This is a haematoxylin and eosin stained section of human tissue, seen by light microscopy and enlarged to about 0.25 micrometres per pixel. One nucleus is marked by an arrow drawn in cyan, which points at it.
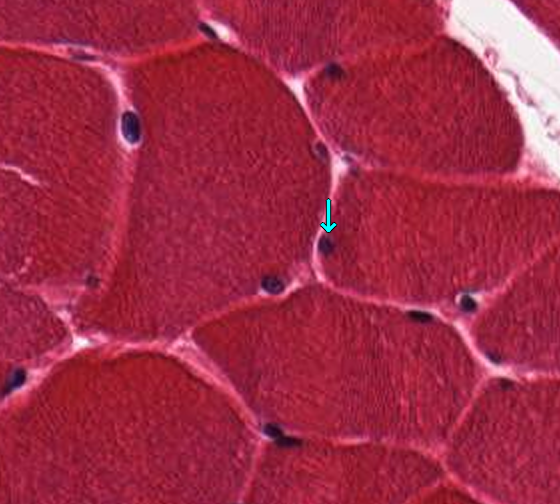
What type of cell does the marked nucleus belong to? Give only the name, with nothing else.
skeletal muscle fibre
